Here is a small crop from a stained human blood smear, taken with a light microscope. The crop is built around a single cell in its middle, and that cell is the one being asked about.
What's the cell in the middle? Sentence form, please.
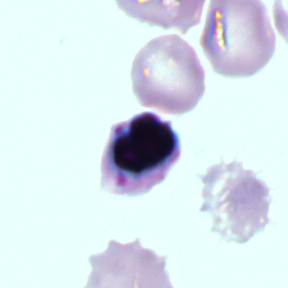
The cell found in the middle of this crop is a normoblast.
